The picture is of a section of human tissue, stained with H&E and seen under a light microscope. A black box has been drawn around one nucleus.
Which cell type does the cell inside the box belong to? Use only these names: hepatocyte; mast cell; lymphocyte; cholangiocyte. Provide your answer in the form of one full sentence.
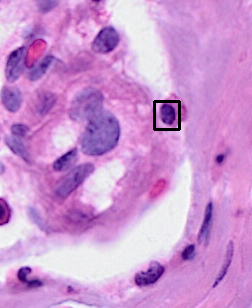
The classification of the cell inside the box is as a mast cell.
